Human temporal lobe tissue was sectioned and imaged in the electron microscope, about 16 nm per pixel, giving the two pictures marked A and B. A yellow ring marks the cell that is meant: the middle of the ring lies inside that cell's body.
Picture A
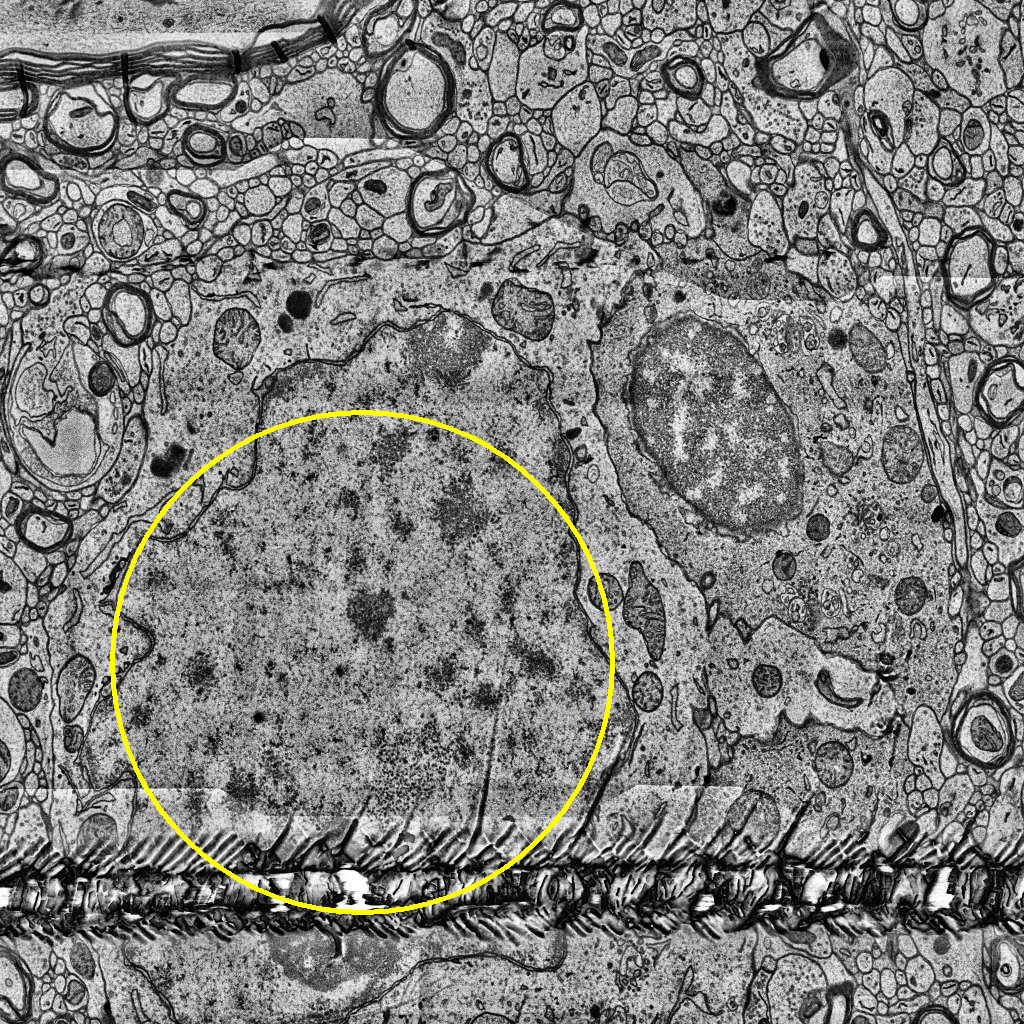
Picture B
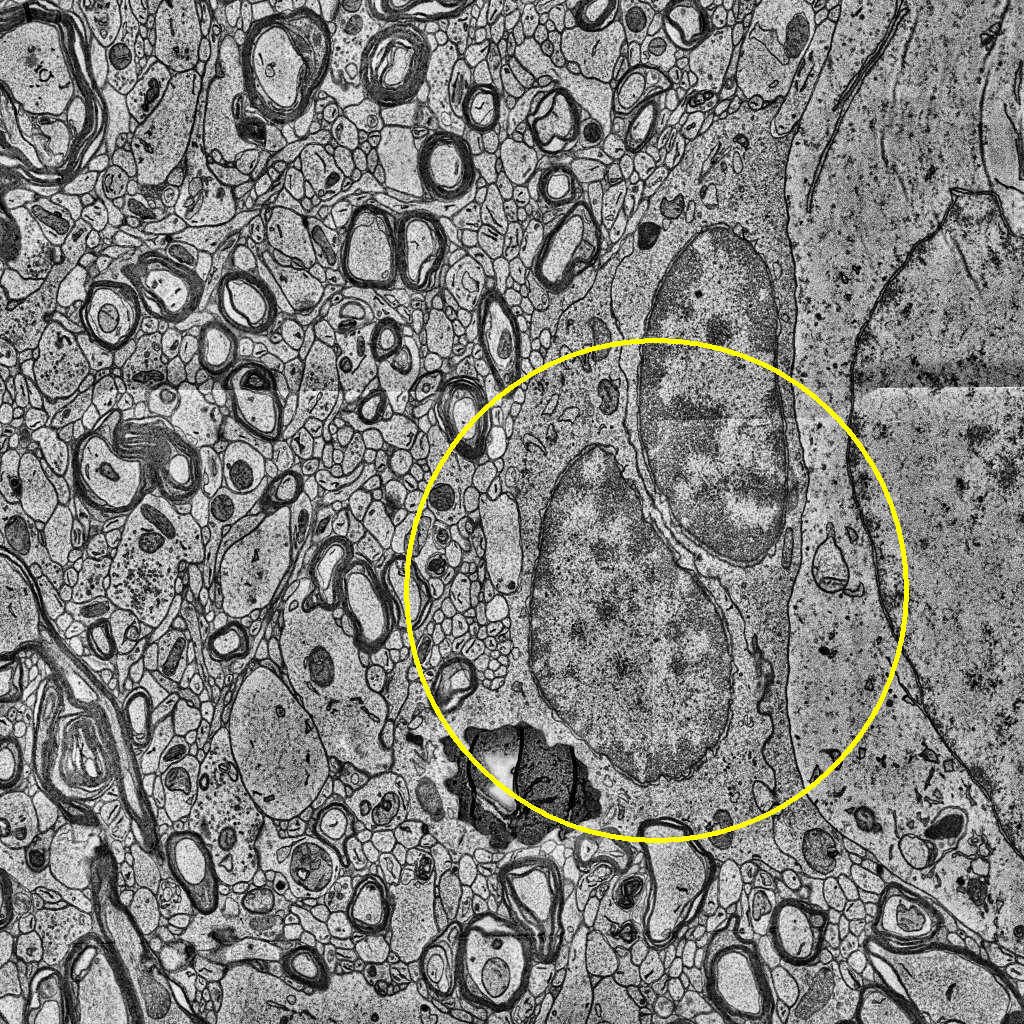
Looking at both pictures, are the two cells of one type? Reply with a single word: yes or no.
no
